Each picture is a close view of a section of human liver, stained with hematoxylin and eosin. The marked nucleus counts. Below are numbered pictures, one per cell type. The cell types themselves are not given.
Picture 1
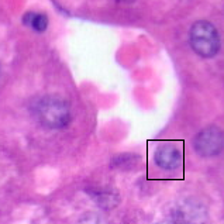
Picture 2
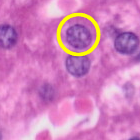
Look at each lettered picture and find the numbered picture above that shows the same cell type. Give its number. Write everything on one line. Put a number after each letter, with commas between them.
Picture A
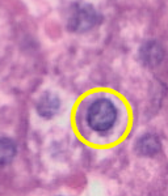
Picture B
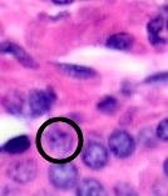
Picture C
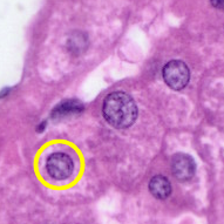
A 2, B 1, C 2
